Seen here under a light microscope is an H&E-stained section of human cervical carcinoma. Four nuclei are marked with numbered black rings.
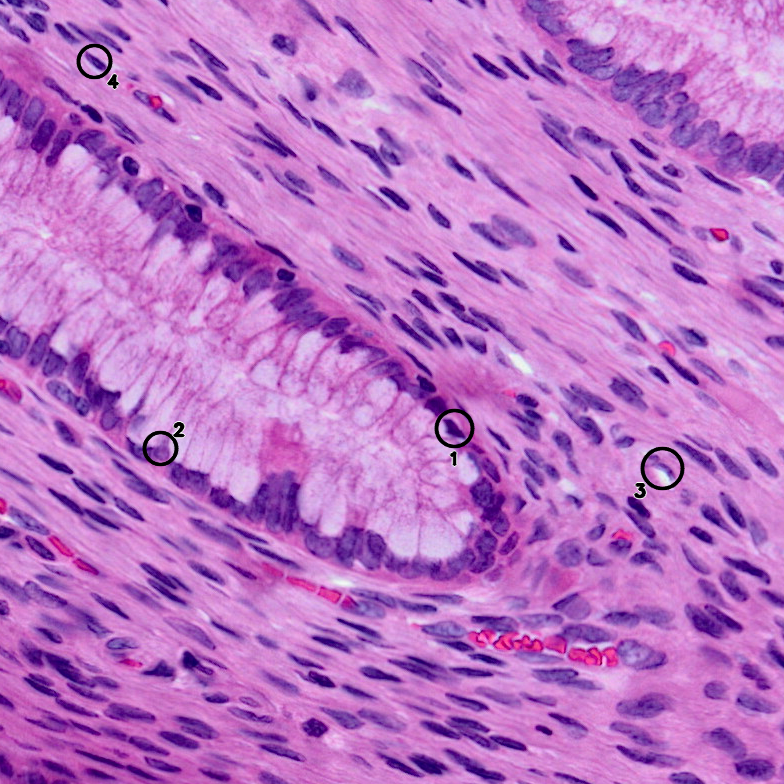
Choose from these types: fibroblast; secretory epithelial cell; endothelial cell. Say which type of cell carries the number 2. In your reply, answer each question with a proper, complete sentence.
Belonging to a secretory epithelial cell is the nucleus that carries the number 2.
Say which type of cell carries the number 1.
Identified by the number 1, the cell is a secretory epithelial cell.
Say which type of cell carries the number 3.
The numbered cell 3 in this field is an endothelial cell.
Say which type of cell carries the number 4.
In this section, the cell numbered 4 is a fibroblast.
